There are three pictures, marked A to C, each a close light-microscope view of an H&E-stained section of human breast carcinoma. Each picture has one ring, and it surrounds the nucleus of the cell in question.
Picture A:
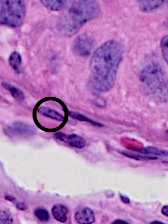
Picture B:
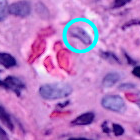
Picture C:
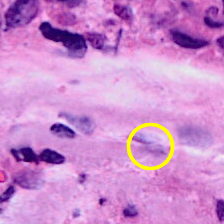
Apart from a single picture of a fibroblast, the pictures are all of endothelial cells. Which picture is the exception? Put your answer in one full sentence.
The fibroblast is the one in picture C.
